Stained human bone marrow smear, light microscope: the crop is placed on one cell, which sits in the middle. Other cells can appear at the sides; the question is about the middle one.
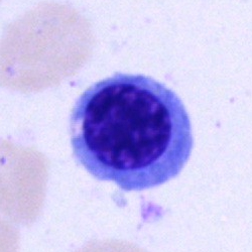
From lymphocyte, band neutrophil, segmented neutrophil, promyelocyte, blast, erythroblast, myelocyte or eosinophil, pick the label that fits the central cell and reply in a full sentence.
The central cell shown in this smear crop is an erythroblast.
